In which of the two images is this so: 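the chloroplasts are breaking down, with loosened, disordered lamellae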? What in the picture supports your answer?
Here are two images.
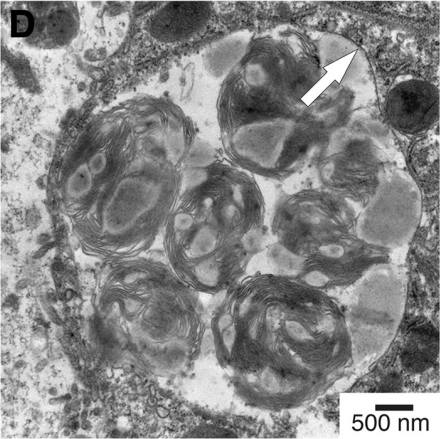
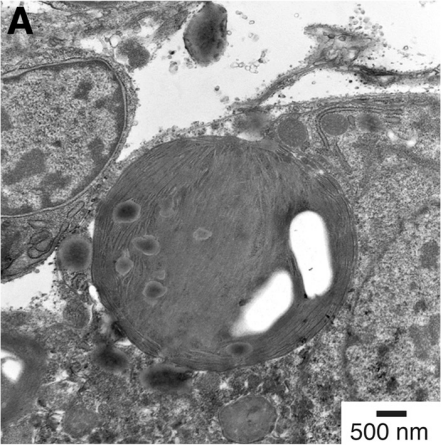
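The first image. First image: organelles with loose, wavy, disrupted lamellae and pale areas, clustered in a clear space. Second image: one compact organelle with tightly stacked, regular lamellae.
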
